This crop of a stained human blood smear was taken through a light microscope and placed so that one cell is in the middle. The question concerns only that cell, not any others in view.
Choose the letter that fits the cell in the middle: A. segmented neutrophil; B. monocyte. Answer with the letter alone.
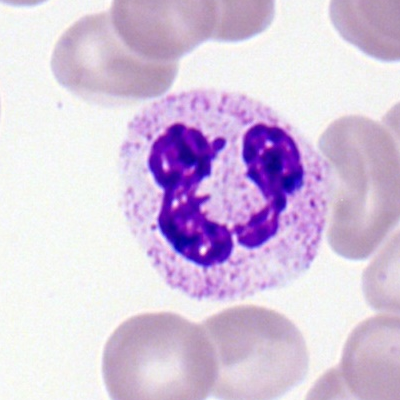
A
